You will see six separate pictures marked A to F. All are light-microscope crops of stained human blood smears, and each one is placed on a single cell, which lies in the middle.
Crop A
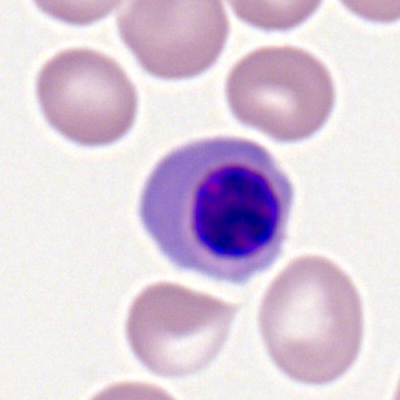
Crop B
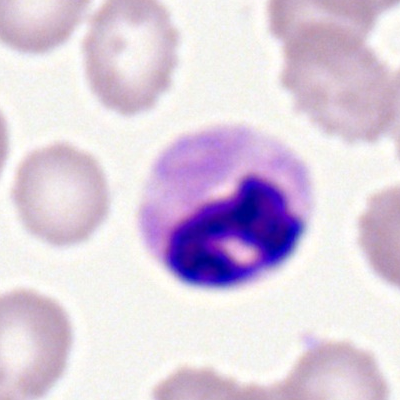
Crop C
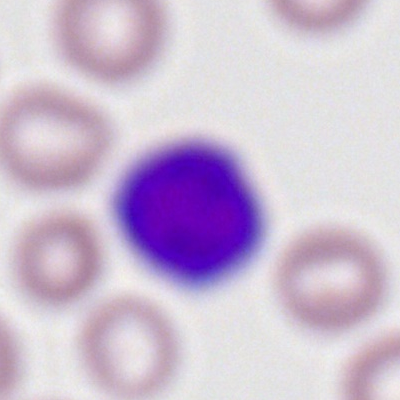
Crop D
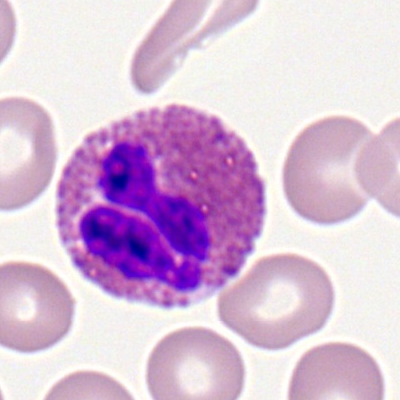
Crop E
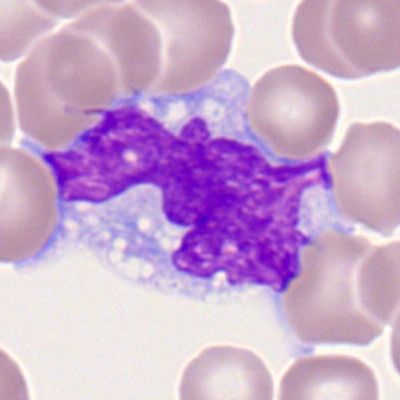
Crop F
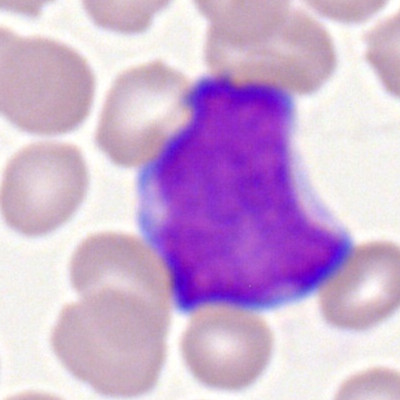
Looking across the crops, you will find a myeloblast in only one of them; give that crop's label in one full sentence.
The crop marked F is the one in which a myeloblast is shown.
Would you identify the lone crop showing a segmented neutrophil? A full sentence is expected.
In this series, a segmented neutrophil is shown by crop B.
